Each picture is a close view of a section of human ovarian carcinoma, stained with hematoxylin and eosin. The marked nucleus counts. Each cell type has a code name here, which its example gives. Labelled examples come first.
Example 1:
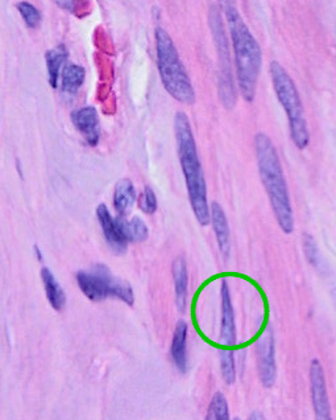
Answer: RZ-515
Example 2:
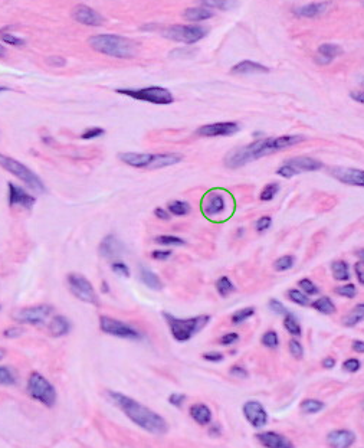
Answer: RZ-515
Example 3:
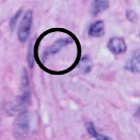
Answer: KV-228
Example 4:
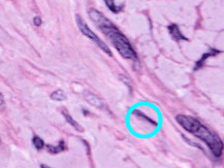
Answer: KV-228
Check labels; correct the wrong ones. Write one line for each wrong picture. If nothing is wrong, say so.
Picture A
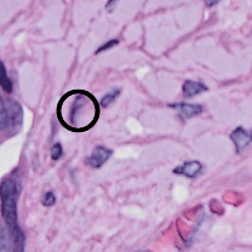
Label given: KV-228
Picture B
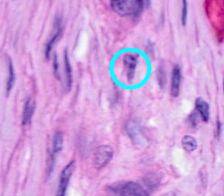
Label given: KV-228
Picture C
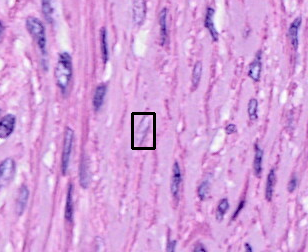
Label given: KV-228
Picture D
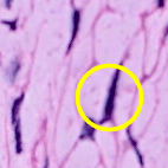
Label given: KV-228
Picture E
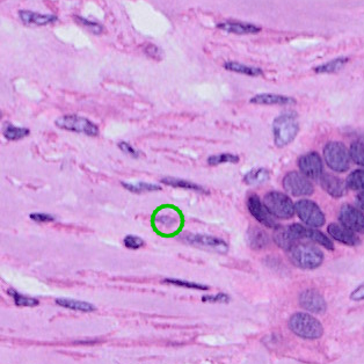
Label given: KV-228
Every label is right.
